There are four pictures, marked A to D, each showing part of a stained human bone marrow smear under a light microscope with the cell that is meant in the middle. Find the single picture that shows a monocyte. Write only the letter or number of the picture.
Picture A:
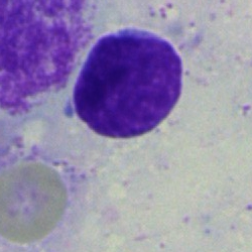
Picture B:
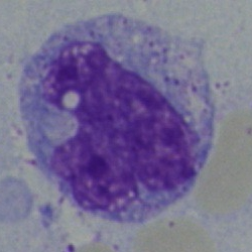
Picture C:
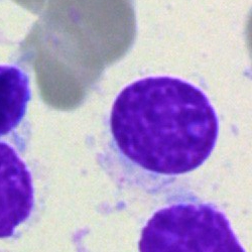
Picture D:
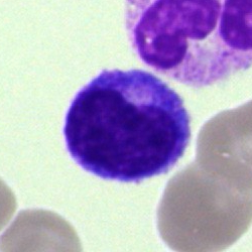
B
